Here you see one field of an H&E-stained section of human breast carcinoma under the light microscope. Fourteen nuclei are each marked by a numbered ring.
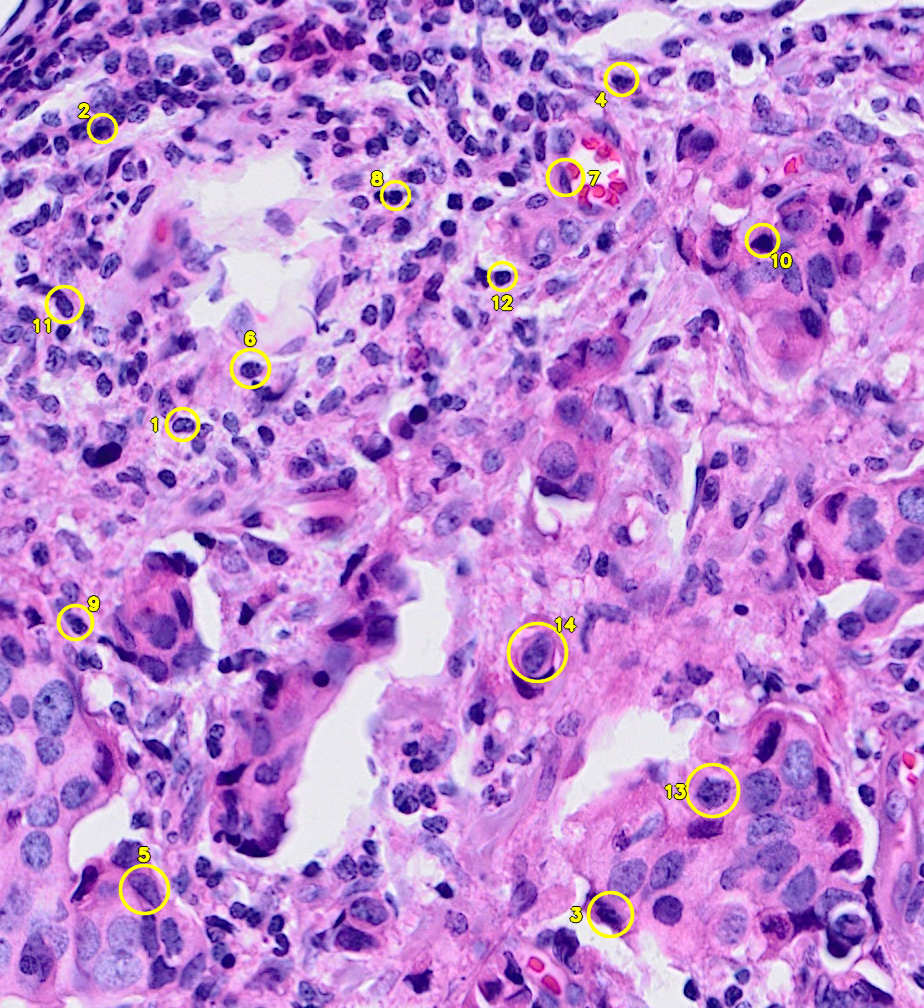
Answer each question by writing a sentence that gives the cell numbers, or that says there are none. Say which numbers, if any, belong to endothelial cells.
The nucleus labelled 7 alone belongs to an endothelial cell; the other marked nuclei do not.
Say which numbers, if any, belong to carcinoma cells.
The cells with the numbers 3, 5, 10, 13 and 14 are carcinoma cells.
